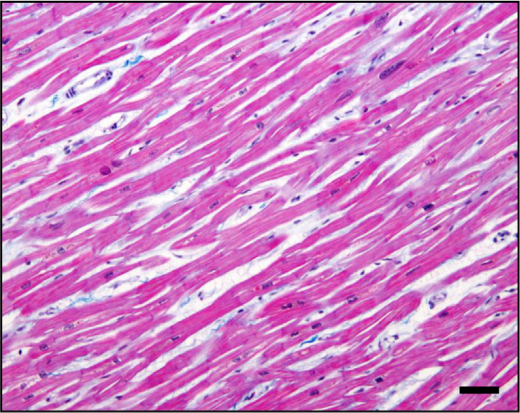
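Myocardium with cardiac muscle fibers cut lengthwise, running diagonally in regular parallel alignment. Fibers stain evenly pink to red, without dark cross bands. Oval purple nuclei lie within the fibers, lengthwise along them. Narrow clear interstitial spaces separate the fibers, with only traces of blue connective tissue.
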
